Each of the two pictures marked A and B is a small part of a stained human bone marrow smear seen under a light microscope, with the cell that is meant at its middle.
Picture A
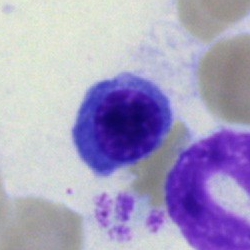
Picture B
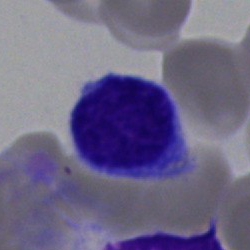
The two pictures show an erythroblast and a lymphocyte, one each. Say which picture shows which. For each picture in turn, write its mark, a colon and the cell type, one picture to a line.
A: erythroblast
B: lymphocyte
